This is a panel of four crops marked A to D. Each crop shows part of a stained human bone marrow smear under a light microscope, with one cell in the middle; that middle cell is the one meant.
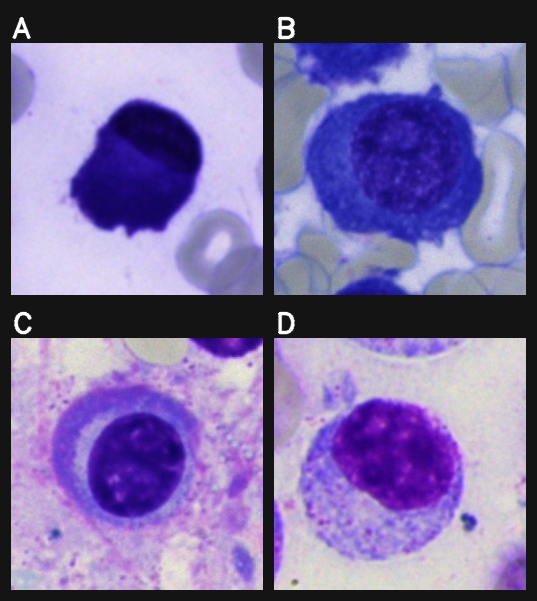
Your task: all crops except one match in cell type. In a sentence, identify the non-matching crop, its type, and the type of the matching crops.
Crop D alone is a myelocyte, and the other crops are all plasma cells.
